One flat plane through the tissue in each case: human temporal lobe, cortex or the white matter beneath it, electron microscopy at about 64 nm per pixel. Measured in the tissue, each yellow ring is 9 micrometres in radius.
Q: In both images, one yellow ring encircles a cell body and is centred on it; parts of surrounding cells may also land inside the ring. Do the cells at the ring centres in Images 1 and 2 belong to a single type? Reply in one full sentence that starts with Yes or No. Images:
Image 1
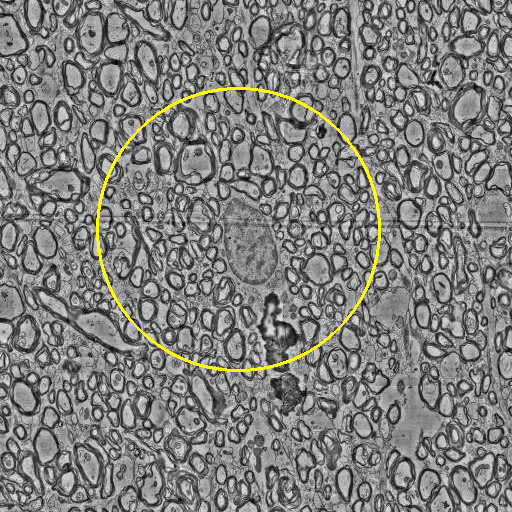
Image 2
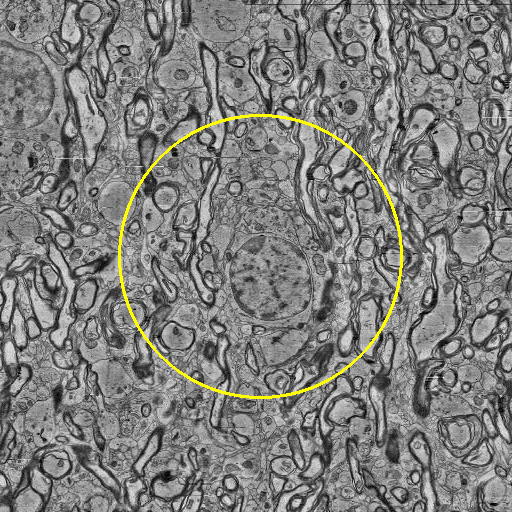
No, the cells at the ring centres in Images 1 and 2 are of two types.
